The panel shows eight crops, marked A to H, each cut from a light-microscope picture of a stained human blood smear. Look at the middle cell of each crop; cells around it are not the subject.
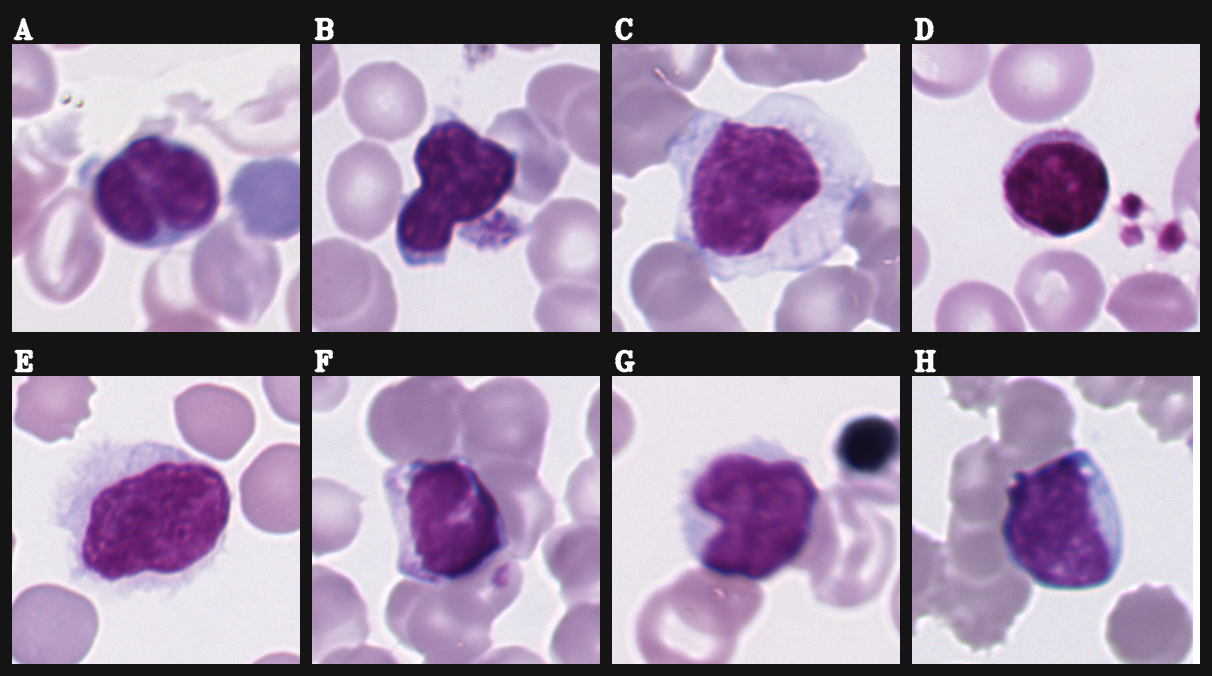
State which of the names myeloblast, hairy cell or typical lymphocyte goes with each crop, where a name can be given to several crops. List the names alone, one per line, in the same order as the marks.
typical lymphocyte
typical lymphocyte
hairy cell
typical lymphocyte
hairy cell
typical lymphocyte
typical lymphocyte
typical lymphocyte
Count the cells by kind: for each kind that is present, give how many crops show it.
typical lymphocyte: 6
hairy cell: 2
